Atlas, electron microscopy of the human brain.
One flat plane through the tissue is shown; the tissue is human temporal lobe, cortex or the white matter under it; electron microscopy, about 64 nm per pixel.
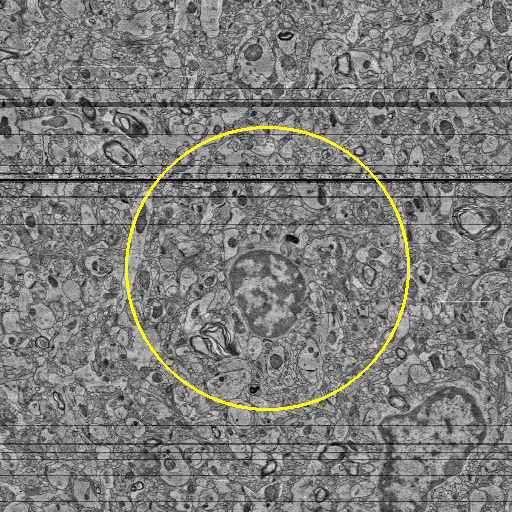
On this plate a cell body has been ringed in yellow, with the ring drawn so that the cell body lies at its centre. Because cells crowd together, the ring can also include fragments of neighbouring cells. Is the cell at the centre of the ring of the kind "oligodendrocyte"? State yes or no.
Yes, it is of that kind.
